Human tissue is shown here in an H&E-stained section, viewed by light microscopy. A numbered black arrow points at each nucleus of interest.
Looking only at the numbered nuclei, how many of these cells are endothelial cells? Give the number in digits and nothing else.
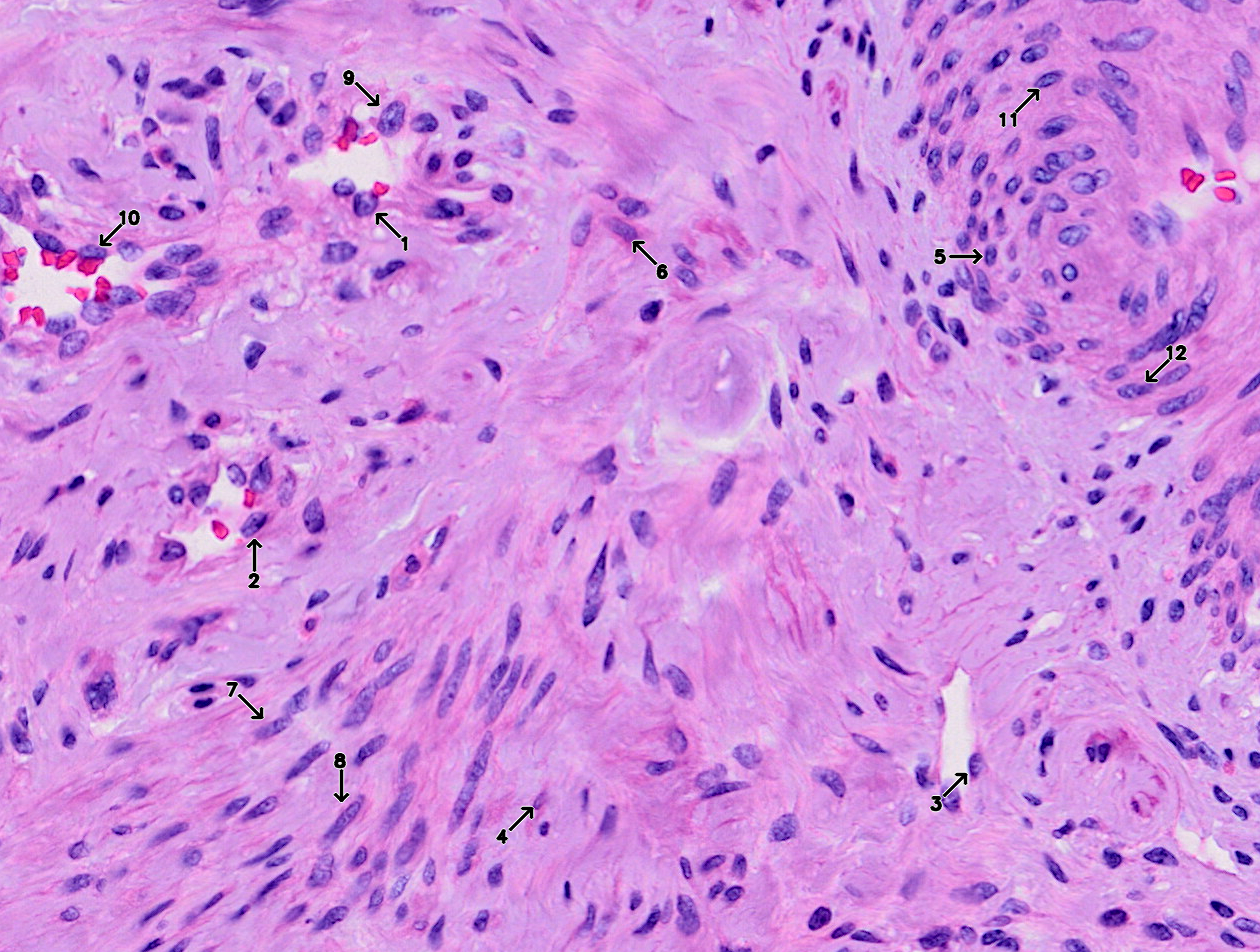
5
